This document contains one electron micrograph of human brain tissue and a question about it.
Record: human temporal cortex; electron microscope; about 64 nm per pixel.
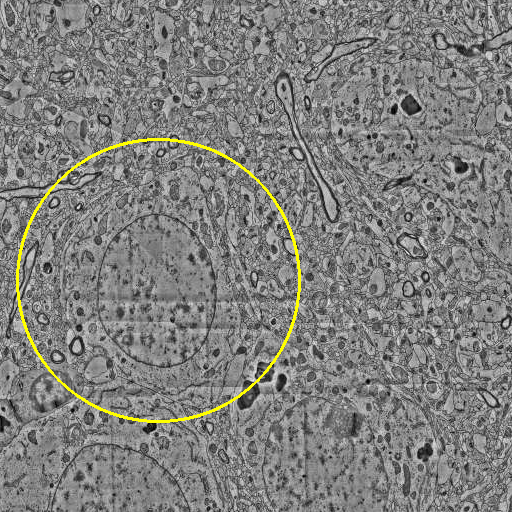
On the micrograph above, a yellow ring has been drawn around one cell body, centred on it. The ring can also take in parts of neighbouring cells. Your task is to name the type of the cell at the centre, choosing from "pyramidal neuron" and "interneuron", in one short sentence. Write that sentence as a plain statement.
Here the ring is centred on a pyramidal neuron.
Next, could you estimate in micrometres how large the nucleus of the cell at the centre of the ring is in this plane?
Roughly 10 by 8 micrometres is the size of the nucleus in this plane.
